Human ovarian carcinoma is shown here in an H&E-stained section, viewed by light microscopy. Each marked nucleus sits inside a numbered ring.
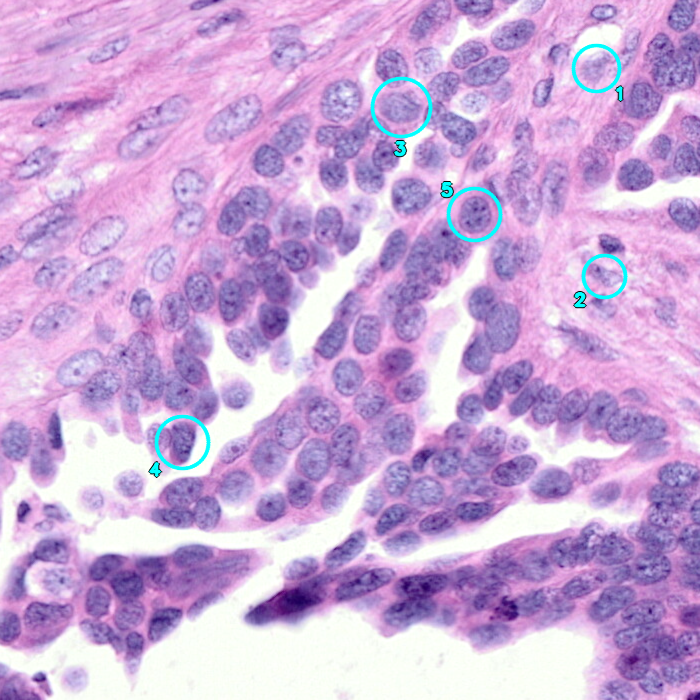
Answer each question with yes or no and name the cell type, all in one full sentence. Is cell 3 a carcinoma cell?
Yes, the cell referred to as number 3 is a carcinoma cell.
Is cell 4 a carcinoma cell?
Yes, in this tissue section, number 4 is a carcinoma cell.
